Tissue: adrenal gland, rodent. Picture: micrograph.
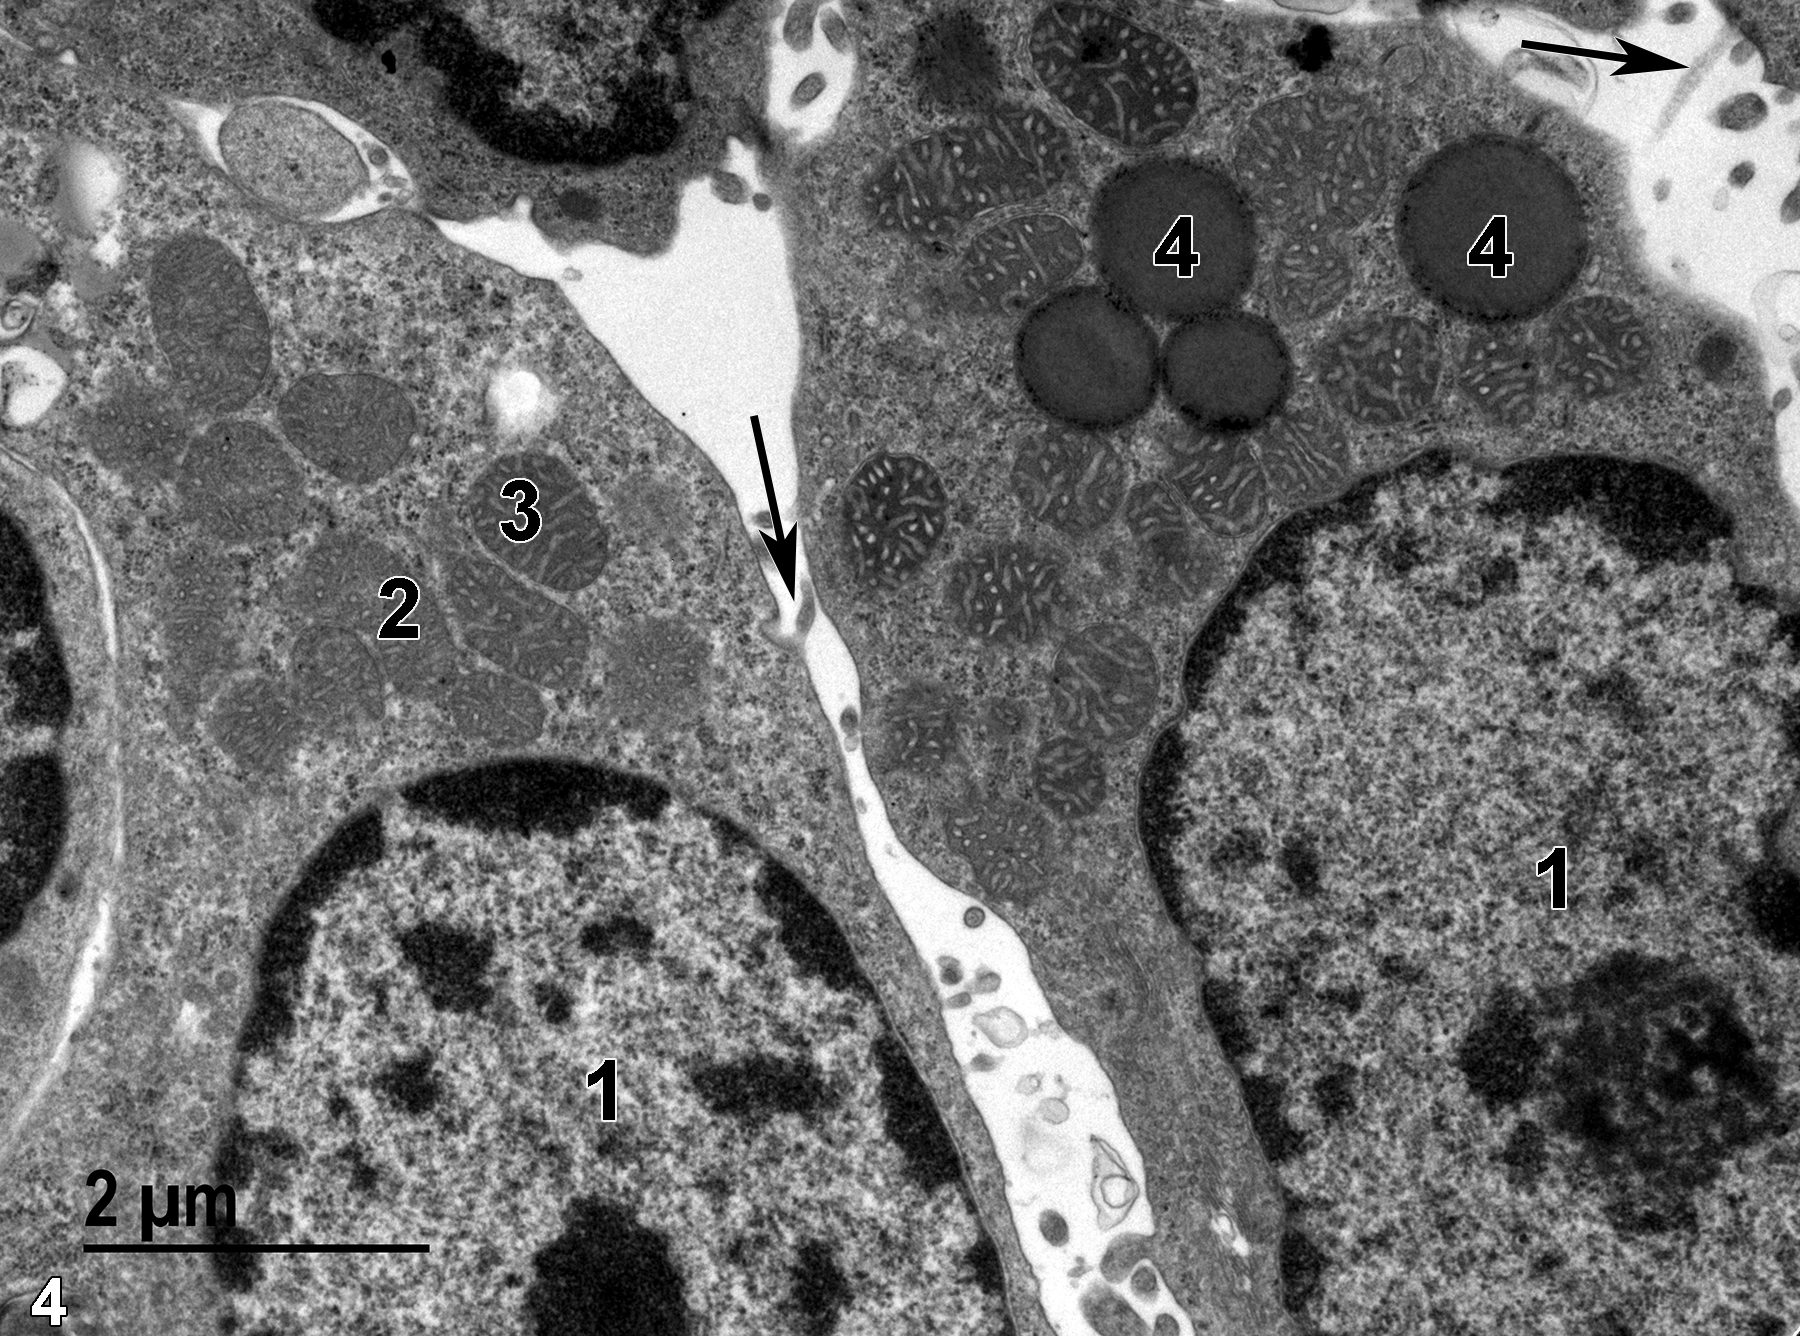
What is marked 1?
nuclei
